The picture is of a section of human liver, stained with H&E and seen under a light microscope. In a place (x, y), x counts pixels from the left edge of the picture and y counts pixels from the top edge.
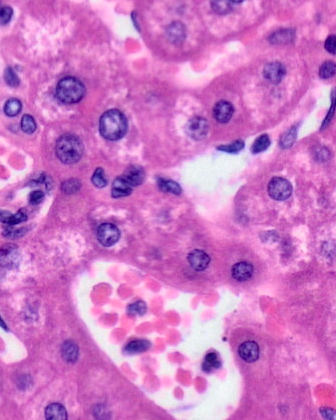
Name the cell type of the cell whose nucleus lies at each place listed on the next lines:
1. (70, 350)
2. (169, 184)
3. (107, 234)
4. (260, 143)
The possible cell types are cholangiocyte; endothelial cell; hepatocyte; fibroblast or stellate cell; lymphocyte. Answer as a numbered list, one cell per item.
1. hepatocyte
2. fibroblast or stellate cell
3. hepatocyte
4. lymphocyte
